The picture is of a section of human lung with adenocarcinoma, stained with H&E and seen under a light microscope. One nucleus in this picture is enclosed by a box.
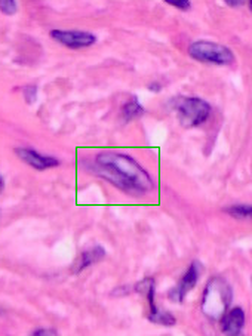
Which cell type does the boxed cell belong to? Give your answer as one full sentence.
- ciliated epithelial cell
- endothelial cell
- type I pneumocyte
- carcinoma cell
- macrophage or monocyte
In short, the boxed cell on this section is an endothelial cell.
